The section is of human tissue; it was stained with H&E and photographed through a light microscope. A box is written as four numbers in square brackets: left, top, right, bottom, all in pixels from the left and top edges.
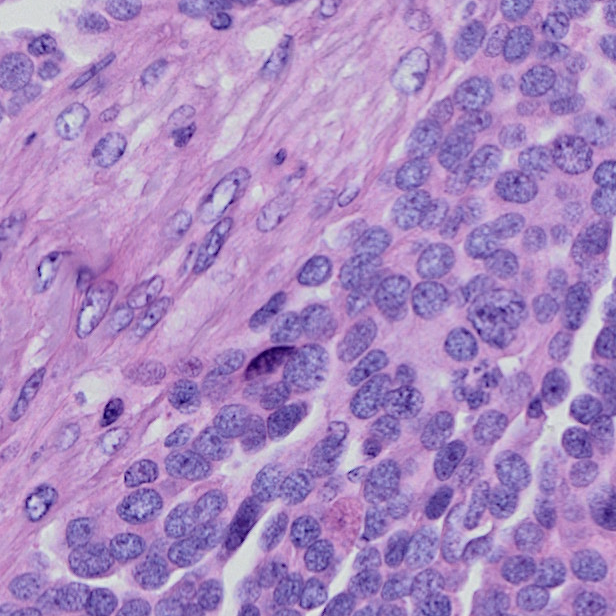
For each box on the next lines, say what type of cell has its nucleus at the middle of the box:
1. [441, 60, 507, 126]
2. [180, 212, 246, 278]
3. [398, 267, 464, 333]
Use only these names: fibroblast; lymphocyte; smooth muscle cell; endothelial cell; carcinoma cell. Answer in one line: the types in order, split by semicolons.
carcinoma cell; fibroblast; carcinoma cell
